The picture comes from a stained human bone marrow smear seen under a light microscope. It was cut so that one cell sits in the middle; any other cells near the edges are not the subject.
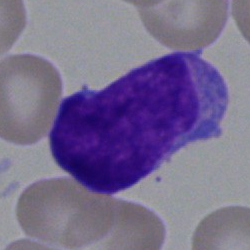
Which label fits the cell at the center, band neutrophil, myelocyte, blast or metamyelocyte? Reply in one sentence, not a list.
In this smear crop, the middle cell is a blast.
